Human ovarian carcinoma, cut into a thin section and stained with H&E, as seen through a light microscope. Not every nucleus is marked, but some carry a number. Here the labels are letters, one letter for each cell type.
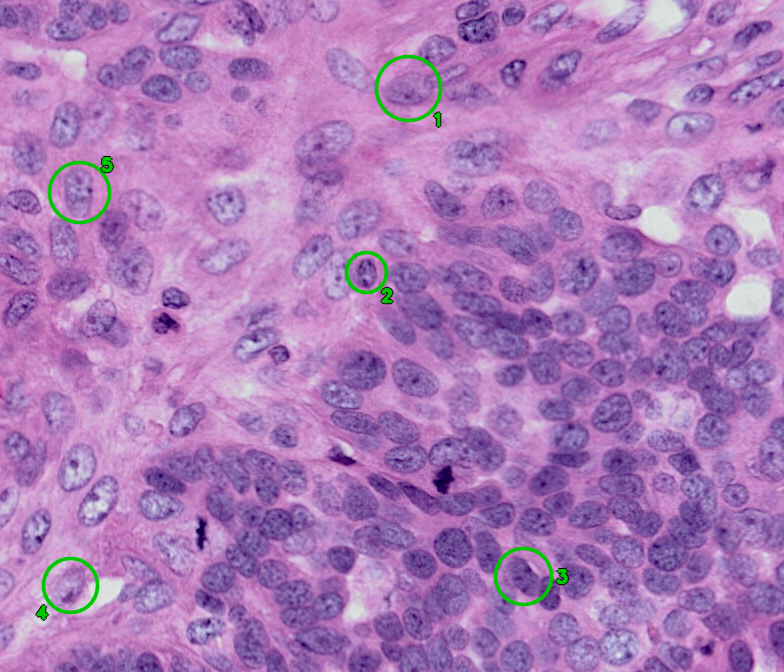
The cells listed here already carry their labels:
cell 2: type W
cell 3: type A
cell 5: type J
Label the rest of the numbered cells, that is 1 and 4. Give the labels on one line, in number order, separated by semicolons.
type J; type J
